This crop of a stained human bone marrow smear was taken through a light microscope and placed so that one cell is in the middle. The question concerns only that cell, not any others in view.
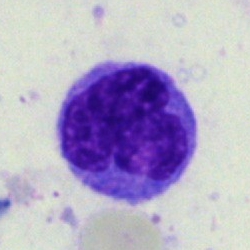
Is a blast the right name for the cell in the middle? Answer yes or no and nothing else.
no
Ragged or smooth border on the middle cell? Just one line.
A smooth, projection-free outline is what this cell has.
